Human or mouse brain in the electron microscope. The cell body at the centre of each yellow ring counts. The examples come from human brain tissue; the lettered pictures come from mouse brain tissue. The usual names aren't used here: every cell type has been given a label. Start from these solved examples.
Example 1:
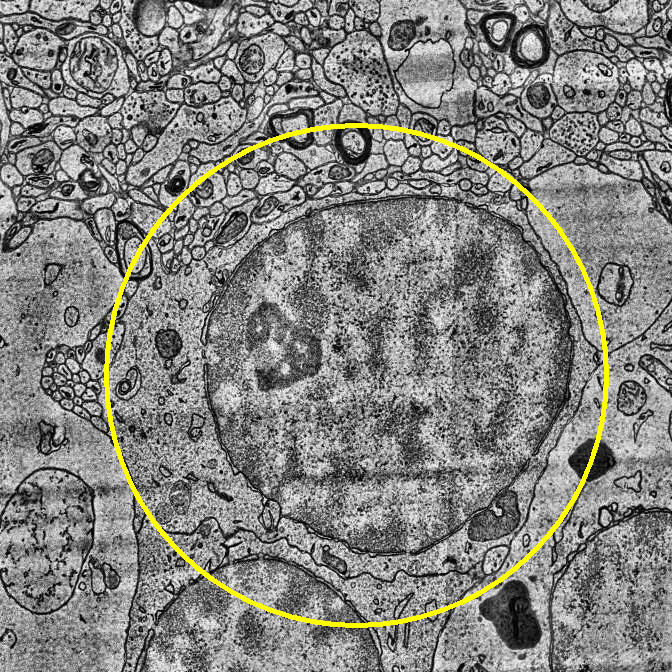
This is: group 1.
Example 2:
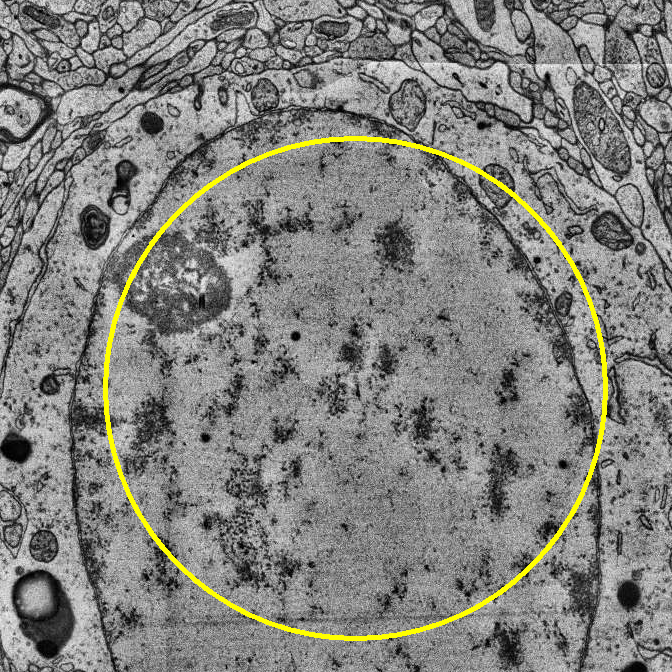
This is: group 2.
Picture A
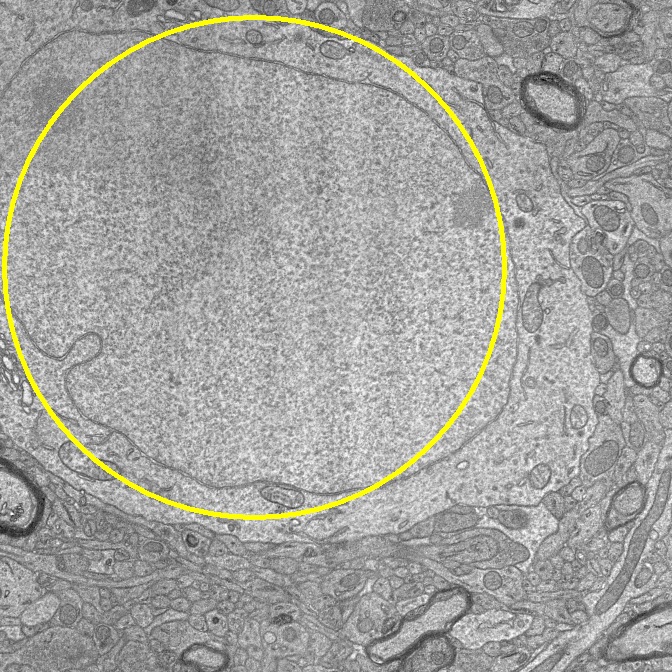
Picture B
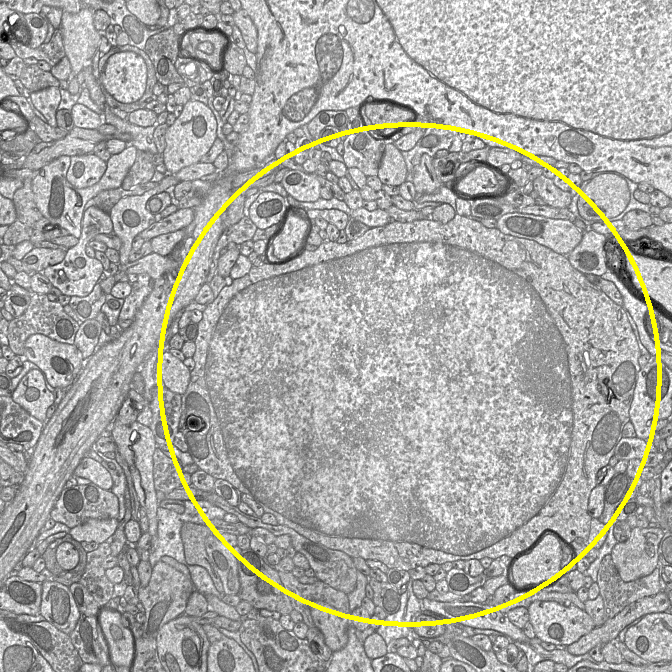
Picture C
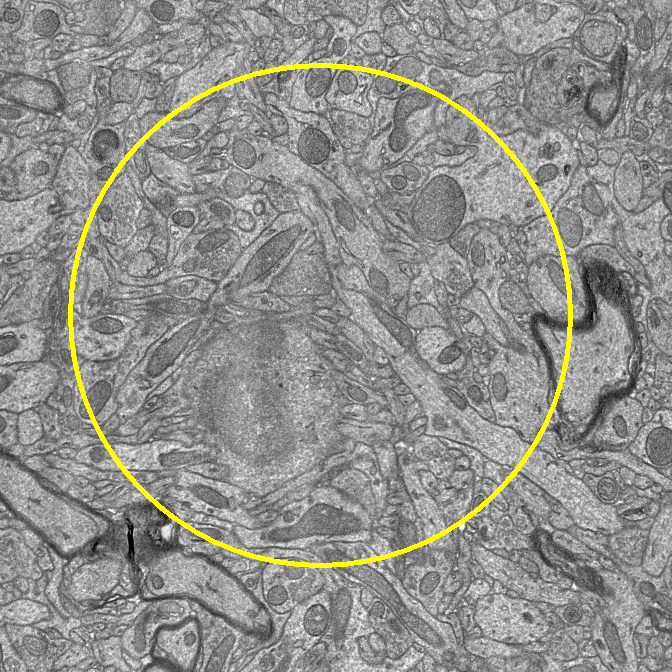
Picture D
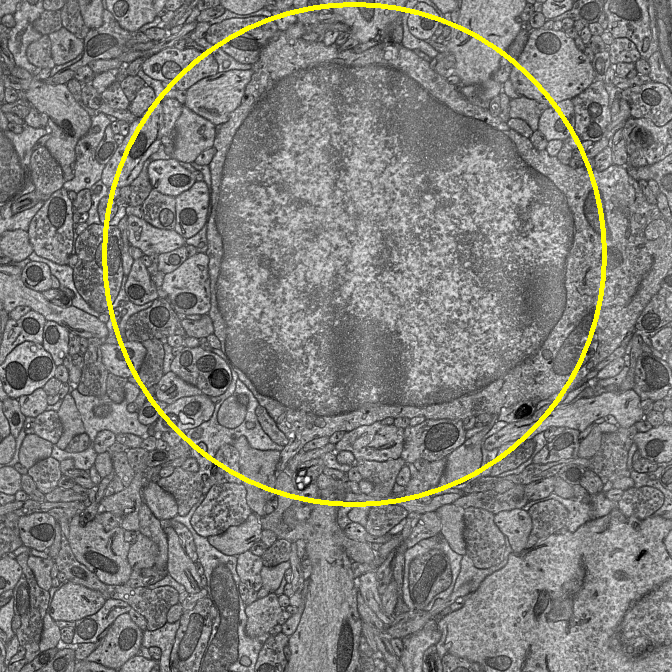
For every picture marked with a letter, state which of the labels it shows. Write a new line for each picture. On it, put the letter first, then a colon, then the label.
A: group 2.
B: group 1.
C: group 1.
D: group 1.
